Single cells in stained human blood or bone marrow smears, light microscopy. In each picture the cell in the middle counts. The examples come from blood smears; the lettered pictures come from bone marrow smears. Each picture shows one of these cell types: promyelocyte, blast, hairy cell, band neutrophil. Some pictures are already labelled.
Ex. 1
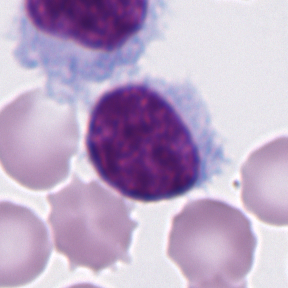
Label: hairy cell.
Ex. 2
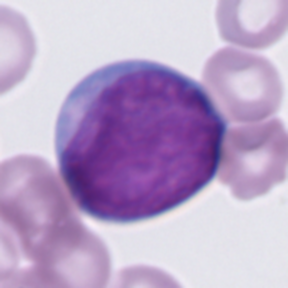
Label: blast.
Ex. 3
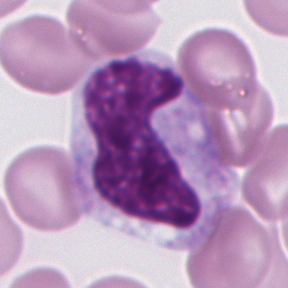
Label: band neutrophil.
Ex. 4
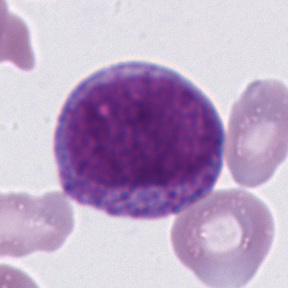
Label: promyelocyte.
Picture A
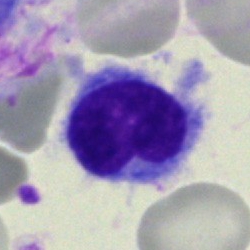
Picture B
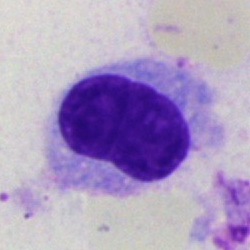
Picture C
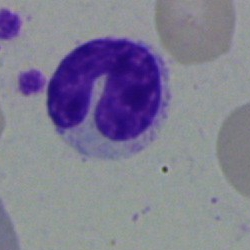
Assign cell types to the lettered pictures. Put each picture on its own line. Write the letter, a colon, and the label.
A: hairy cell.
B: hairy cell.
C: band neutrophil.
